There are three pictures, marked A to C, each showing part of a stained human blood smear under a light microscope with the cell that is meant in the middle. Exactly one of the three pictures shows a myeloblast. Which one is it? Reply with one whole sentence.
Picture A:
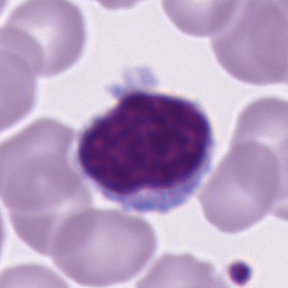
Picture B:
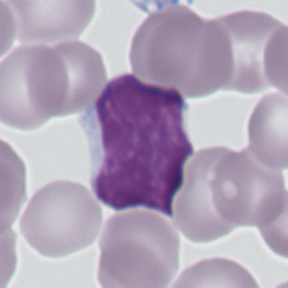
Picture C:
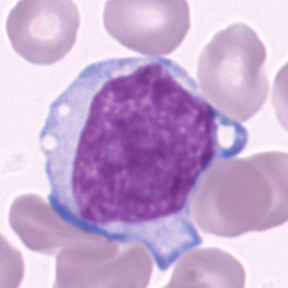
The myeloblast is the one in picture C.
